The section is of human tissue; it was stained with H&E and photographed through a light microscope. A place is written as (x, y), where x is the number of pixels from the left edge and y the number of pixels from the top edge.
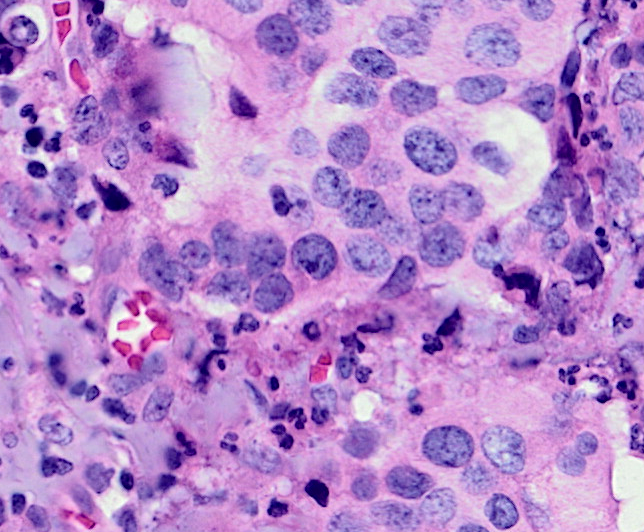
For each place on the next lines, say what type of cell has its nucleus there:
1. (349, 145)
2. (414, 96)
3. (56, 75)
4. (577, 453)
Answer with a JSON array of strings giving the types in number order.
["carcinoma cell", "carcinoma cell", "endothelial cell", "carcinoma cell"]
